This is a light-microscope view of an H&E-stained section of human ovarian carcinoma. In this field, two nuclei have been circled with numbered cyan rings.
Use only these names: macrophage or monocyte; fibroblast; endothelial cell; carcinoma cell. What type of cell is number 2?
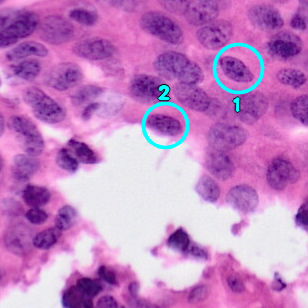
carcinoma cell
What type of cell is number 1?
macrophage or monocyte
